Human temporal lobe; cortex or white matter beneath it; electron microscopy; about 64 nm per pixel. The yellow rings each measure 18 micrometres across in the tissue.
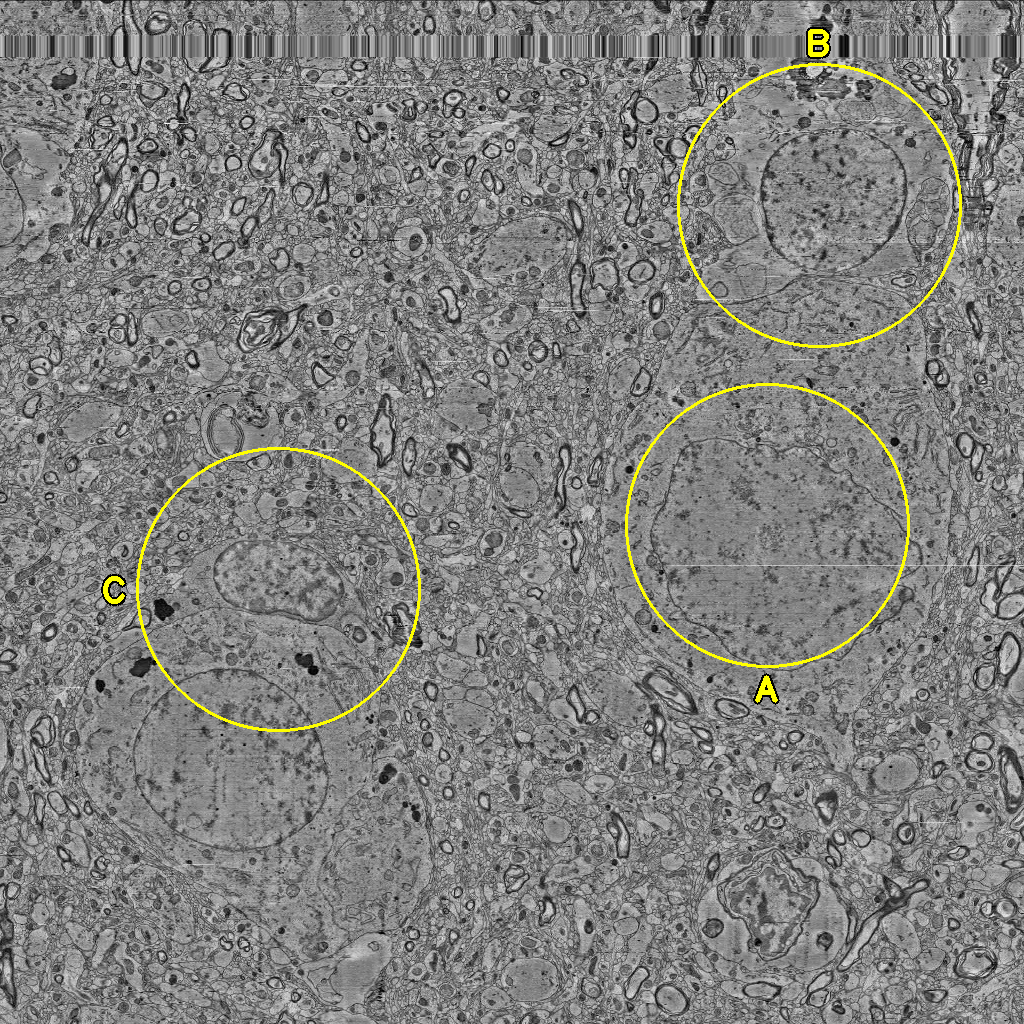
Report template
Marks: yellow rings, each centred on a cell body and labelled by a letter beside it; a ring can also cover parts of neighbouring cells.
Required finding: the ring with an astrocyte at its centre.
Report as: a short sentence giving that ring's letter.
Ring B holds that cell at its centre.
